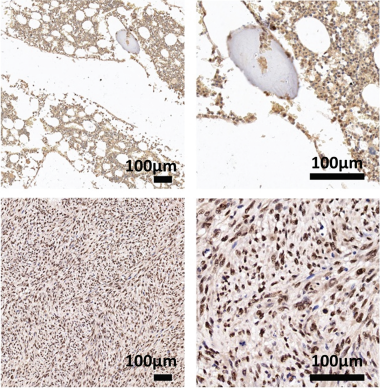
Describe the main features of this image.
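The upper pair of images shows loose, marrow-like tissue with many round empty vacuoles, like fat cells, among small cells with brownish staining. A pale, homogeneous fragment of matrix, probably bone, lies among them. The lower pair shows a dense, solid sheet of crowded spindle-shaped and oval cells arranged in sweeping fascicles, with no fat spaces between them. At higher magnification, many of these cells have enlarged, irregular nuclei stained dark brown, and the cytoplasm is lighter brown.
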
